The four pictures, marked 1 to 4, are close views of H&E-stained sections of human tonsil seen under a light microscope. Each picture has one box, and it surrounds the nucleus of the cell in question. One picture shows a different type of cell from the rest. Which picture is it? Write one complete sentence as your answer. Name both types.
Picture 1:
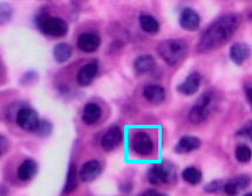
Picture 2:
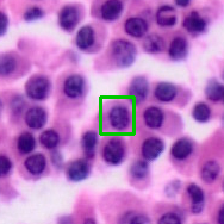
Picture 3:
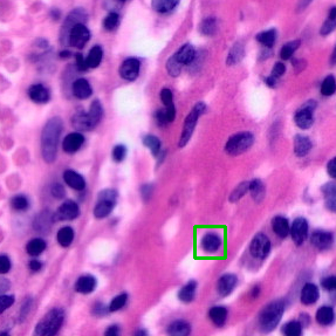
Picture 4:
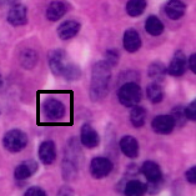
All pictures except 3 show plasma cells; picture 3 shows a mast cell.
